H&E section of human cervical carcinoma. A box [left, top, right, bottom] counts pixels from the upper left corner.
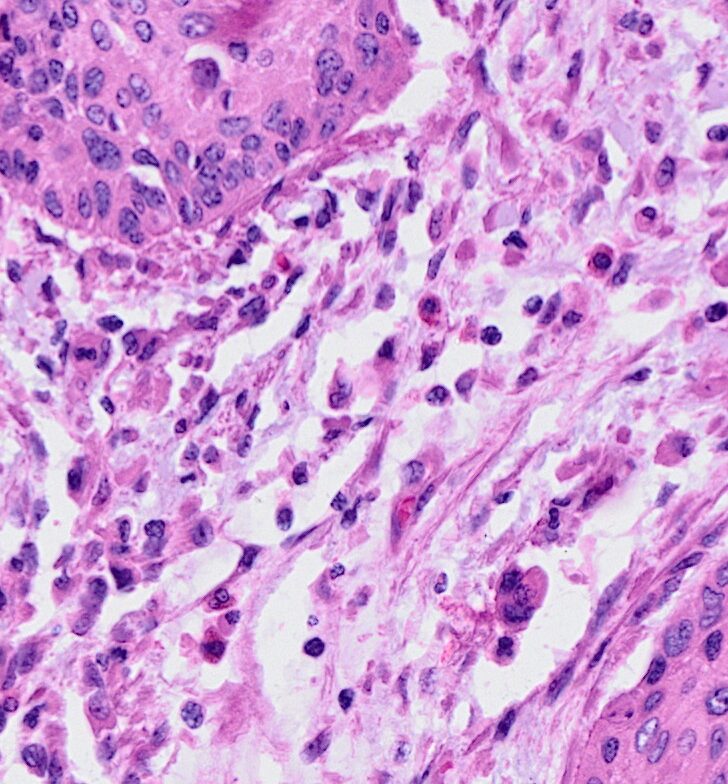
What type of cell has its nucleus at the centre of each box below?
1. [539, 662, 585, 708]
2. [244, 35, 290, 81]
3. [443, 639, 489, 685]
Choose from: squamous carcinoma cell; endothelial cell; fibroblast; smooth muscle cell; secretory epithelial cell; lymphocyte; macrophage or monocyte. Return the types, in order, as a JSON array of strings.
["fibroblast", "squamous carcinoma cell", "fibroblast"]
